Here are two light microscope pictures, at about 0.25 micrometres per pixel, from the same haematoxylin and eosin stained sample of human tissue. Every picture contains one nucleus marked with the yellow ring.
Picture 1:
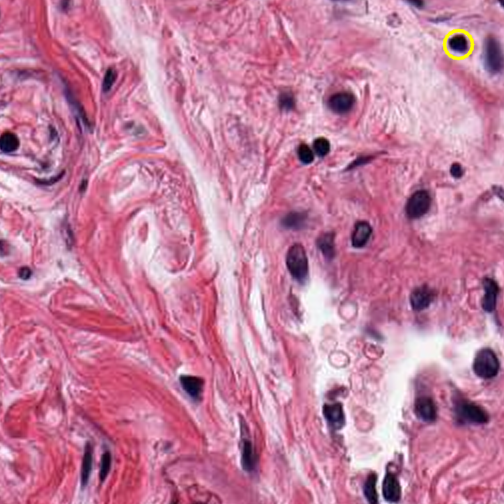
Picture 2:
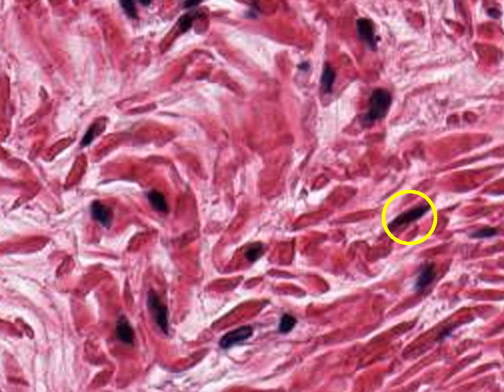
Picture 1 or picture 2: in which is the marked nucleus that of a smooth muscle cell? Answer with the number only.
2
